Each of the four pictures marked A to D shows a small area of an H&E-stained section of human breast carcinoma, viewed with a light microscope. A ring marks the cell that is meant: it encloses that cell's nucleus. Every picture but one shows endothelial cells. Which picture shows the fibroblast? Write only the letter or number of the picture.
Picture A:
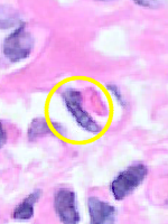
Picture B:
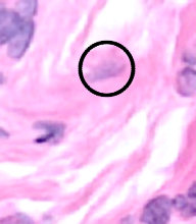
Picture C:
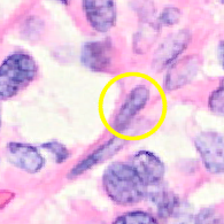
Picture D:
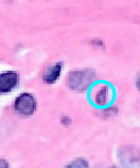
B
